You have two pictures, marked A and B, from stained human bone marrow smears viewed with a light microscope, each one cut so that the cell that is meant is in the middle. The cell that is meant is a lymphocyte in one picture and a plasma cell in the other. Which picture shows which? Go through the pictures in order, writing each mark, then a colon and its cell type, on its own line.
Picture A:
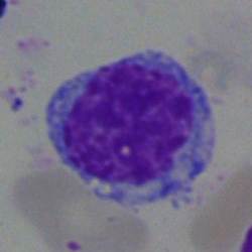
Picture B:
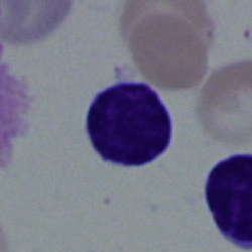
A: plasma cell
B: lymphocyte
